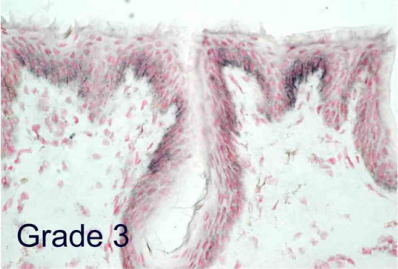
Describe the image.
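This is skin with a stratified epidermis of keratinocytes above a loose dermis. The epidermis folds deeply down into the dermis, forming ridges and a deep cleft. The keratinocyte nuclei are stained pink-red and are packed in several layers. A dark blue-black stain is concentrated along the deepest layer of the epidermis where it meets the dermis, and is fainter in the upper layers. The dermis below is pale, with scattered elongated nuclei.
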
